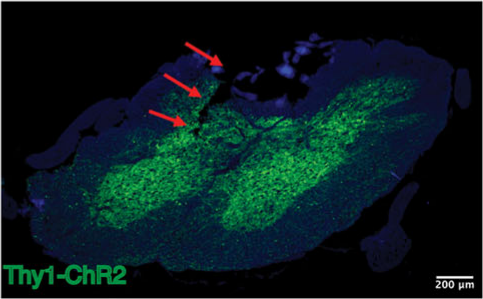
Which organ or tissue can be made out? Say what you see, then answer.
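A cross section with a butterfly-shaped central region of brightly stained tissue.
Conclusion: spinal cord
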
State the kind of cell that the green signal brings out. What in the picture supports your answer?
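The green signal is concentrated in the butterfly-shaped central region. The outer rim is largely free of green. The answer: Neurons.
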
